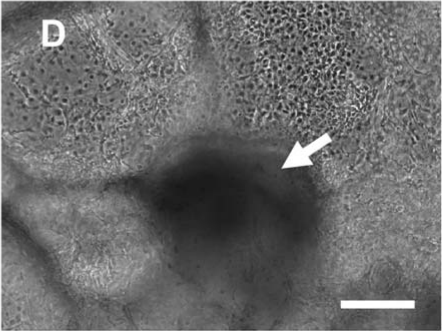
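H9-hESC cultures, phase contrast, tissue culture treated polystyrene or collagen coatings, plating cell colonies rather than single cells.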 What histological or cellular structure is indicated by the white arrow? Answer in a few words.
Protrusion growing up into the medium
